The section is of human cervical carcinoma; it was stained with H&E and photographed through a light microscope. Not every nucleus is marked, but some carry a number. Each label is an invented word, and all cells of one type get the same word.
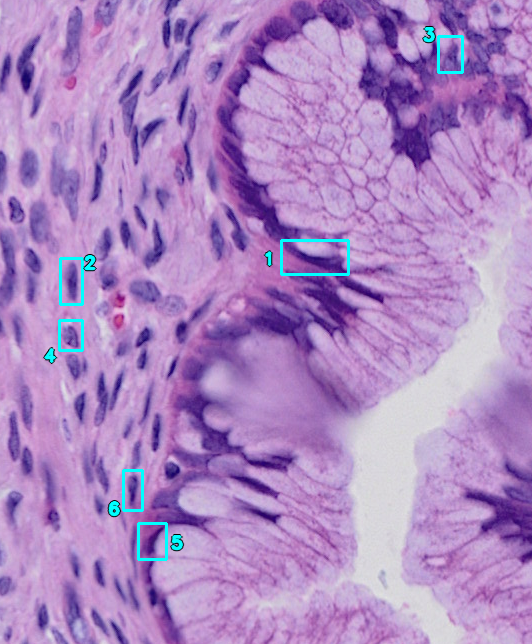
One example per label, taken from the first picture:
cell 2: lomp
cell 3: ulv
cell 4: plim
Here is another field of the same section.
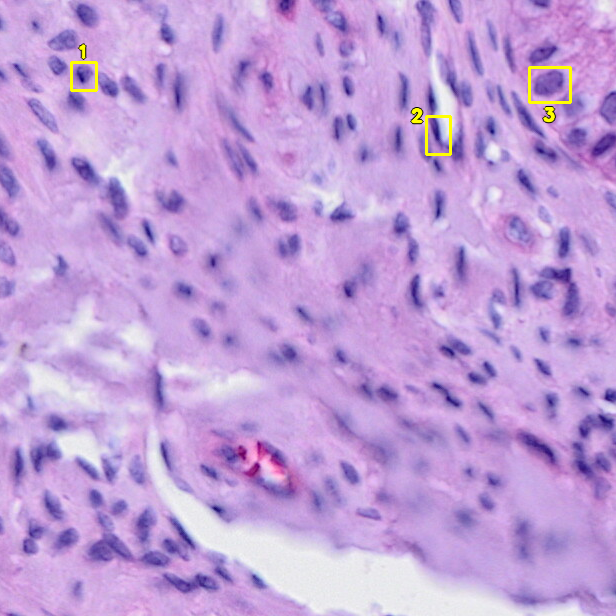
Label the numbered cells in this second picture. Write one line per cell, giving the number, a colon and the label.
1: lomp
2: plim
3: ulv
